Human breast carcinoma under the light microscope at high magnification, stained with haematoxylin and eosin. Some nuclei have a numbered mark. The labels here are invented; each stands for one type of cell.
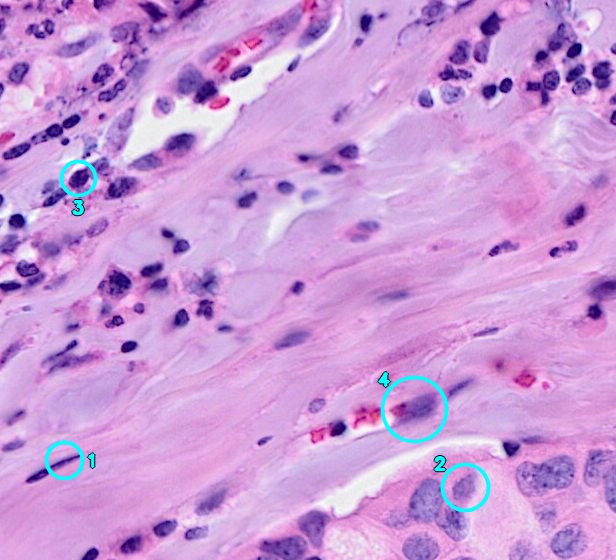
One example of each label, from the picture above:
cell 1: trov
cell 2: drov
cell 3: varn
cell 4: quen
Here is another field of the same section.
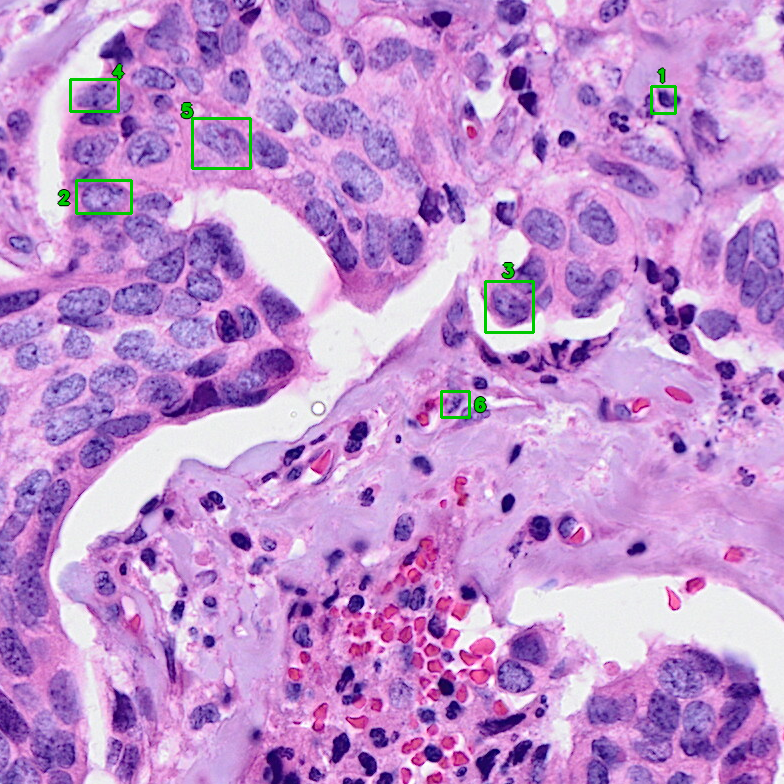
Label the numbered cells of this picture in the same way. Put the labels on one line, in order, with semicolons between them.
varn; drov; drov; drov; drov; quen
